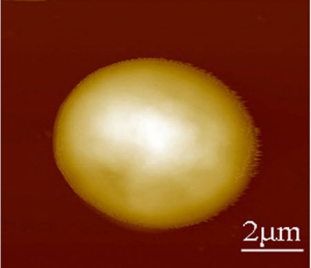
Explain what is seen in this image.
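A single erythrocyte seen in surface relief, oval-round in outline and domed throughout, with no central depression. The upper surface shows slight, irregular undulations. The cell lies alone on a flat background.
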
